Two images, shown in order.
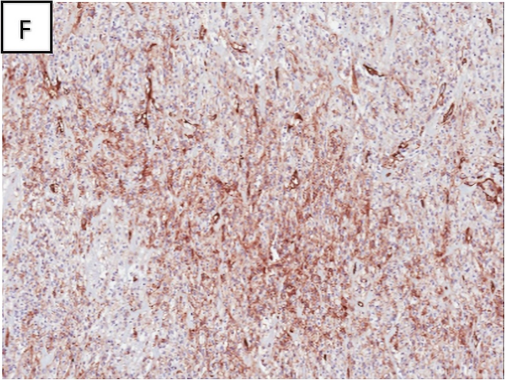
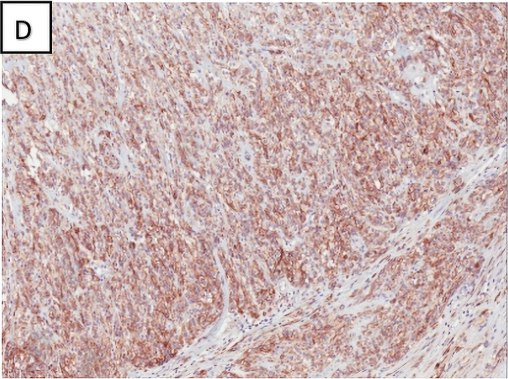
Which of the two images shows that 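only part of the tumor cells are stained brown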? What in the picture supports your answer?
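First image: brown stain is patchy, with many tumor cells showing only blue nuclei. Second image: brown stain fills most of the tumor cells across the field, sparing the stromal bands.
The first image.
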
